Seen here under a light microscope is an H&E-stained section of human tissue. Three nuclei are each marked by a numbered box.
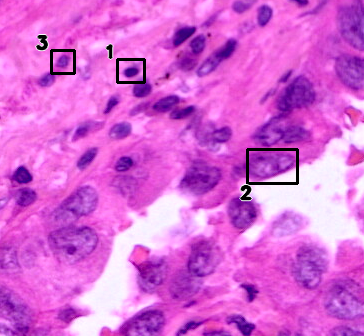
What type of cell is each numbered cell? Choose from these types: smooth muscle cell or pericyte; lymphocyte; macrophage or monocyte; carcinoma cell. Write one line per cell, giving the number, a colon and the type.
1: lymphocyte
2: carcinoma cell
3: smooth muscle cell or pericyte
